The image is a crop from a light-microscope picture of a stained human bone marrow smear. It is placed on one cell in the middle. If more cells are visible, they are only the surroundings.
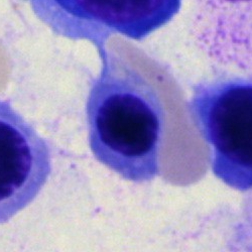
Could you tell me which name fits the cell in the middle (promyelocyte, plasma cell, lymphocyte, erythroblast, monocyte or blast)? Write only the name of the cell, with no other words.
erythroblast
